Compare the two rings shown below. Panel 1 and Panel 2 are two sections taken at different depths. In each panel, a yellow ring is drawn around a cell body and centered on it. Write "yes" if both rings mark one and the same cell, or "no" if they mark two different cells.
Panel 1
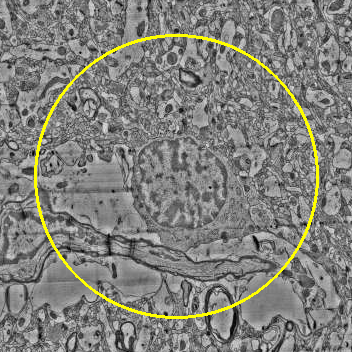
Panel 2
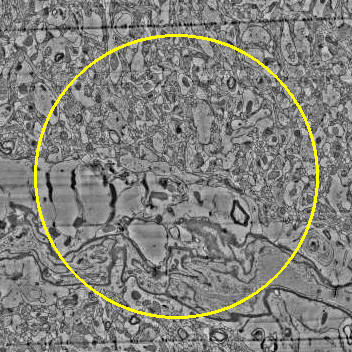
yes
